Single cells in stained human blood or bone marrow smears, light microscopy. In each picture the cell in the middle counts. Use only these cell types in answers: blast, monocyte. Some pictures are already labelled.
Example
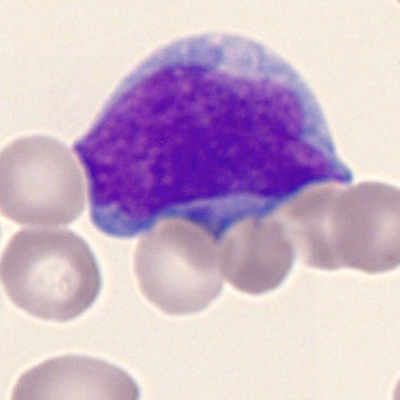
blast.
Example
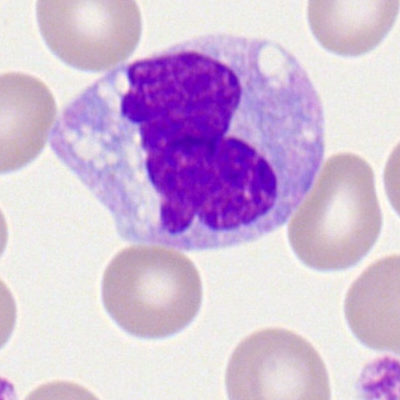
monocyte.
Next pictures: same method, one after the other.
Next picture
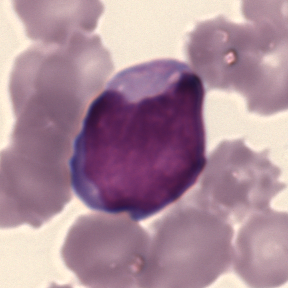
blast.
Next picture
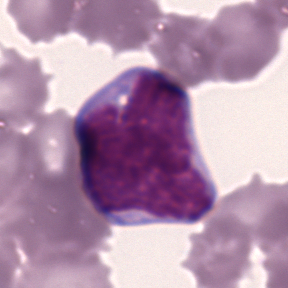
blast.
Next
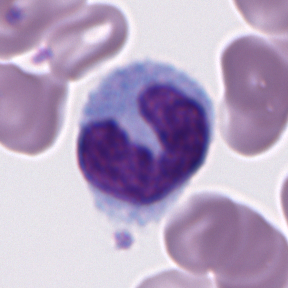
monocyte.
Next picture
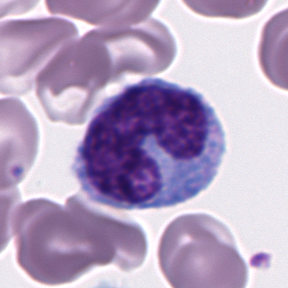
monocyte.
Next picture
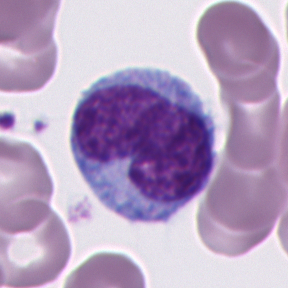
monocyte.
